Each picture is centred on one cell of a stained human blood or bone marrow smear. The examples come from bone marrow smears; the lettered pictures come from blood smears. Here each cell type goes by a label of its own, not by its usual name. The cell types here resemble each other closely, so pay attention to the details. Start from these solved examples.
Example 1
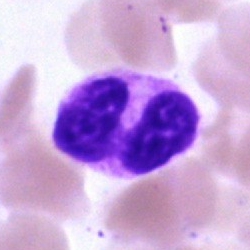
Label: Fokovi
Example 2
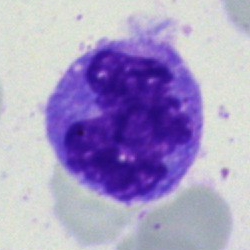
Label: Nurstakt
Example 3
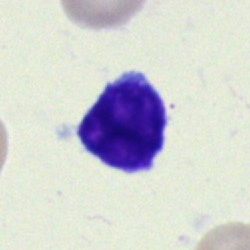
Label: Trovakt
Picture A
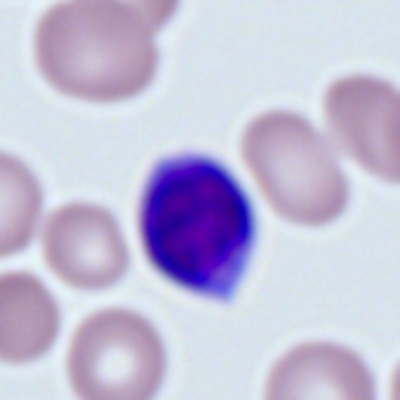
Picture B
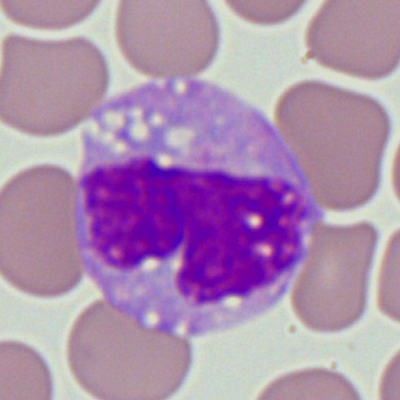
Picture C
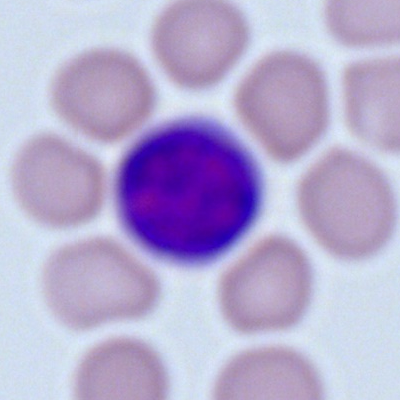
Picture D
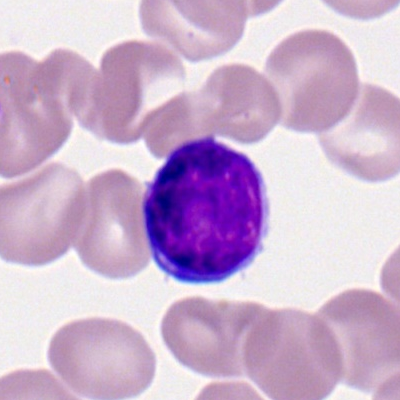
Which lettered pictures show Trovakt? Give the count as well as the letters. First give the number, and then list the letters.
3: A, C, D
